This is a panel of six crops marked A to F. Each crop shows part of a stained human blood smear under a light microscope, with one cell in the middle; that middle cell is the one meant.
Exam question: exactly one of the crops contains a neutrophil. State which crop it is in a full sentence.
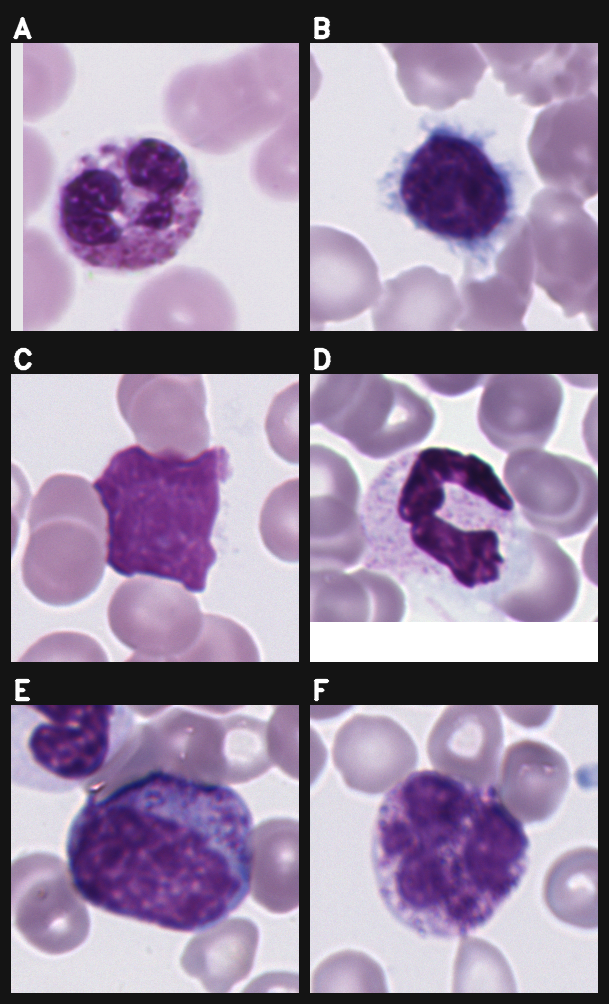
Selected crop: D, which is the one that shows a neutrophil.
